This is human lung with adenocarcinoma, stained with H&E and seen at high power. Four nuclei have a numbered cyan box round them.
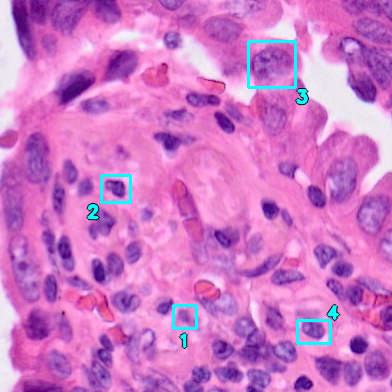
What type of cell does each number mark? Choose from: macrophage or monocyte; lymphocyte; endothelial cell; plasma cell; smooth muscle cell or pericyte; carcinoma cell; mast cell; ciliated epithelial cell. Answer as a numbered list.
1. lymphocyte
2. lymphocyte
3. carcinoma cell
4. lymphocyte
